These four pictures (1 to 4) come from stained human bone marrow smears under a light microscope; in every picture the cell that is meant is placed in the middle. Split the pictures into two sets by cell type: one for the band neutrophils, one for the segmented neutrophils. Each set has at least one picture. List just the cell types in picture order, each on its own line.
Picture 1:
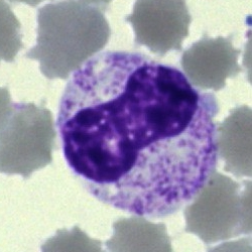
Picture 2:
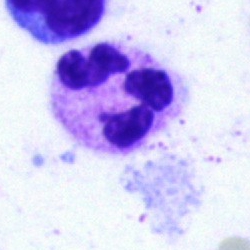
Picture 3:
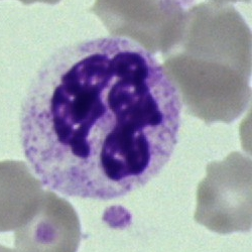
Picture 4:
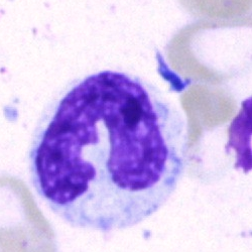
band neutrophil
segmented neutrophil
segmented neutrophil
segmented neutrophil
